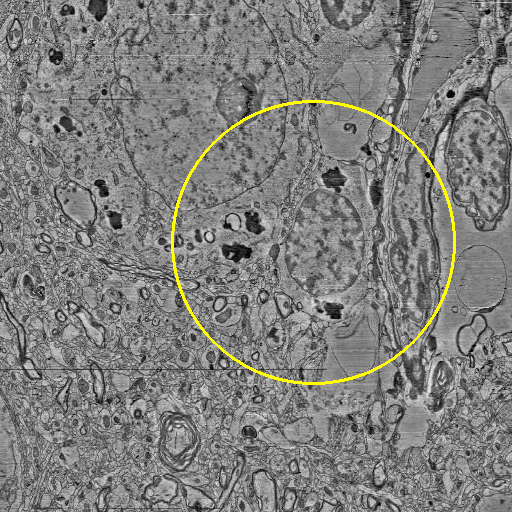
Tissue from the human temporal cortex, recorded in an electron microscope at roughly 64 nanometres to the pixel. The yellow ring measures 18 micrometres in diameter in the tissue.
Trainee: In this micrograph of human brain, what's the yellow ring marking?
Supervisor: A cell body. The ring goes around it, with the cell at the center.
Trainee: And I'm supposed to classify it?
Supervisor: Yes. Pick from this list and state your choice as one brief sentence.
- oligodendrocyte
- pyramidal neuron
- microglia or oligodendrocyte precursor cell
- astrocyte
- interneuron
The cell at the ring's center is an oligodendrocyte.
